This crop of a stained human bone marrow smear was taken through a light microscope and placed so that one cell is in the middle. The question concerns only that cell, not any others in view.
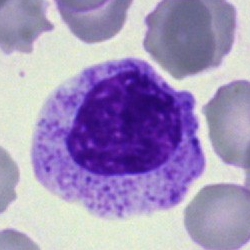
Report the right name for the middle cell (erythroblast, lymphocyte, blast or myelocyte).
myelocyte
